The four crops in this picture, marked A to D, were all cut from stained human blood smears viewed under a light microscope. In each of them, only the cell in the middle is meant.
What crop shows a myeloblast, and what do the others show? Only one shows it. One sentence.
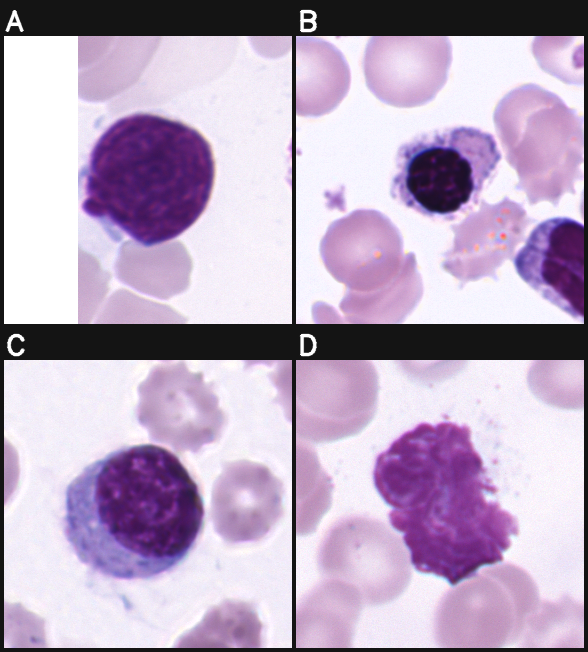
Identified in crop A is a myeloblast, whereas crop B is a normoblast, crop C is a plasma cell and crop D is a smudge cell.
